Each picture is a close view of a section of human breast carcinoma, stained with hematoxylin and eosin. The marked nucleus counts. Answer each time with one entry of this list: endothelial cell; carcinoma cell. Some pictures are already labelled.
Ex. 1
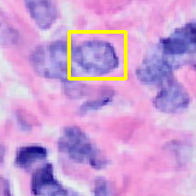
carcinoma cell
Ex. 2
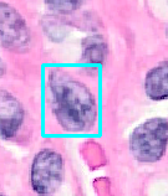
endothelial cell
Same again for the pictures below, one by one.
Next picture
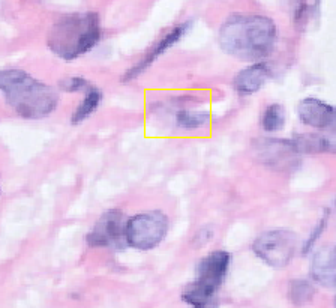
endothelial cell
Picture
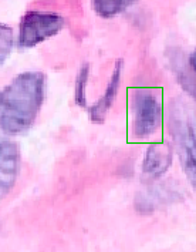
endothelial cell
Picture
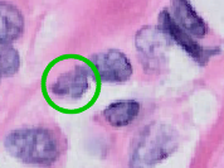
carcinoma cell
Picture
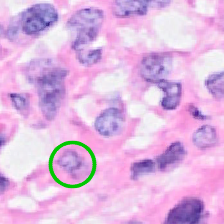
endothelial cell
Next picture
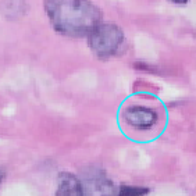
endothelial cell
